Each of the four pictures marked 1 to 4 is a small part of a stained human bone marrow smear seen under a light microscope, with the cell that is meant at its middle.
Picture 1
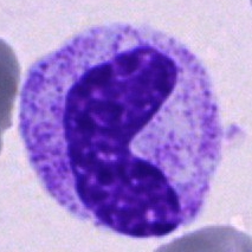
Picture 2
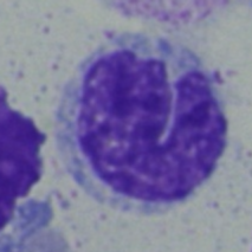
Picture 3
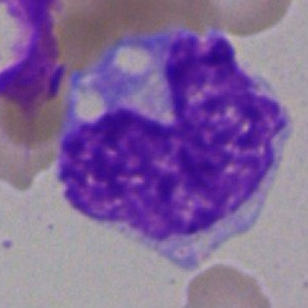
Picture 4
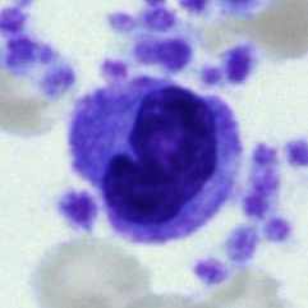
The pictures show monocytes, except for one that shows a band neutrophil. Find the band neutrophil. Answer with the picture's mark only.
1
